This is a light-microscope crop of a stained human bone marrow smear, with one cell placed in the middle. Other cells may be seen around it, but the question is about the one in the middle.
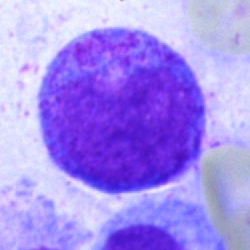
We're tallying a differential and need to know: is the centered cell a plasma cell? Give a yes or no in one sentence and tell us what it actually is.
No; rather than a plasma cell, the cell at the center is a promyelocyte.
